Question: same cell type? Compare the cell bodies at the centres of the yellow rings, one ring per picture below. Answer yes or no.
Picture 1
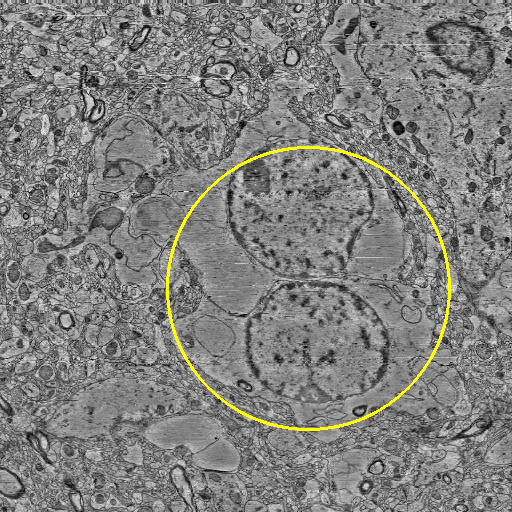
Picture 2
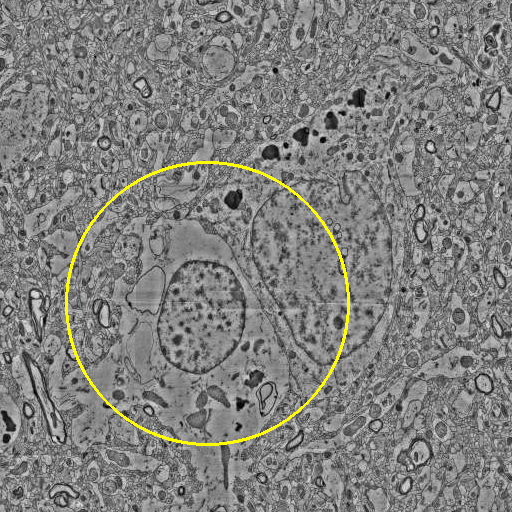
yes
